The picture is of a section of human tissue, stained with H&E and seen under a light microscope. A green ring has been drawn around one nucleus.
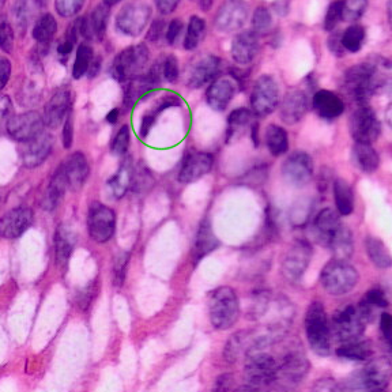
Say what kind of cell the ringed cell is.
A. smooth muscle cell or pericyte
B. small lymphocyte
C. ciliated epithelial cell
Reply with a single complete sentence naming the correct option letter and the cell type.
The correct option here, C, identifies the ringed cell as a ciliated epithelial cell.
